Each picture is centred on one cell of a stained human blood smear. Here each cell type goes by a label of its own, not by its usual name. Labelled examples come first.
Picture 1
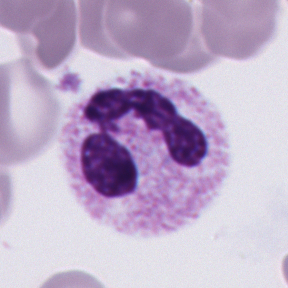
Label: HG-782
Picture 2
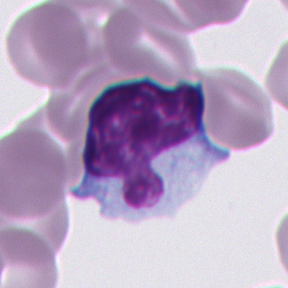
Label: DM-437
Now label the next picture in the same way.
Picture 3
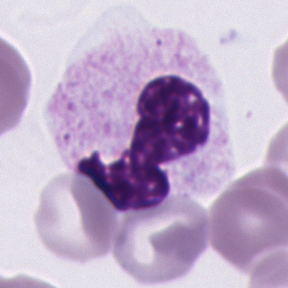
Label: HG-782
